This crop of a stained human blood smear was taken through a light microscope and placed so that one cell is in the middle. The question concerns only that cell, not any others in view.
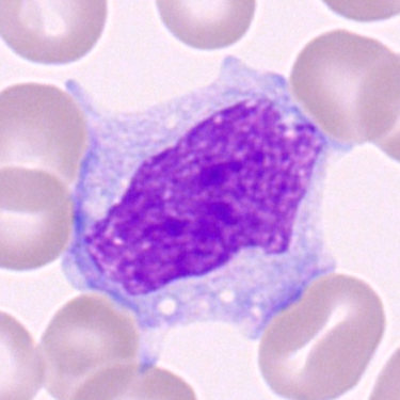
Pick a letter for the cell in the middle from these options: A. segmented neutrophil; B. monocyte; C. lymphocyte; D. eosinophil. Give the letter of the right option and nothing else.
B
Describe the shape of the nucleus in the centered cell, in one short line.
Round, oval or kidney-shaped, the nucleus is one compact mass.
